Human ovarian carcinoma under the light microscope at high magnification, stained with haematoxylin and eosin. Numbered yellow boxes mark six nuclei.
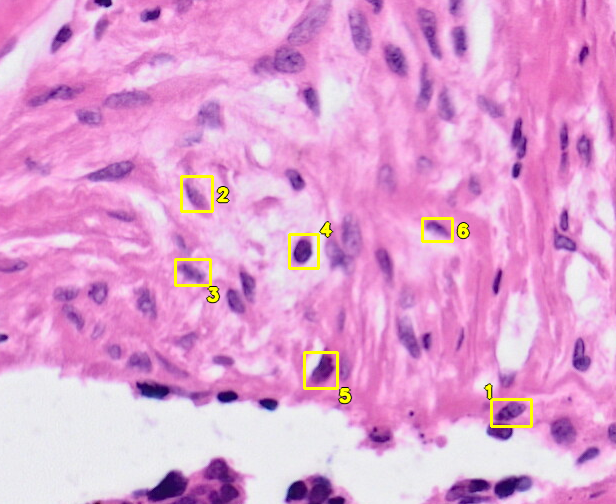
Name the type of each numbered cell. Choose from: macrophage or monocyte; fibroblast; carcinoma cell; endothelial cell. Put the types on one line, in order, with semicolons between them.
macrophage or monocyte; fibroblast; fibroblast; macrophage or monocyte; fibroblast; fibroblast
